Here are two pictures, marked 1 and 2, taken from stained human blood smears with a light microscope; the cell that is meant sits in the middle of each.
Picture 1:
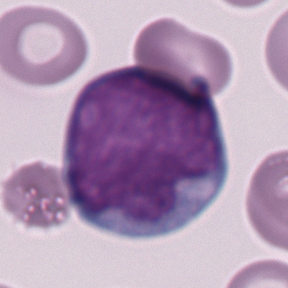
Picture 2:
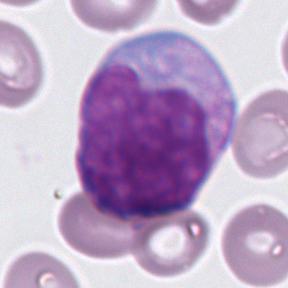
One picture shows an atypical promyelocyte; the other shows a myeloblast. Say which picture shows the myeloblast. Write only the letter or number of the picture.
1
